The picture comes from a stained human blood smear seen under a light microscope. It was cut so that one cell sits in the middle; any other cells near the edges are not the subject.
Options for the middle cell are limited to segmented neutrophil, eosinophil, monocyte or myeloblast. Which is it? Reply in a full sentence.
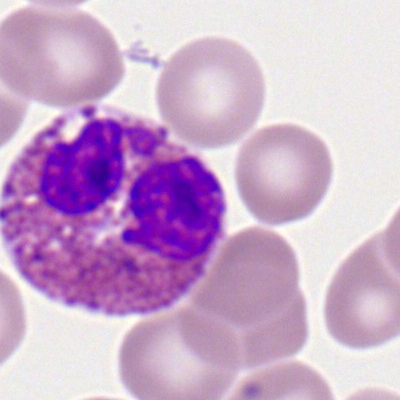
The centrally positioned cell in the crop represents an eosinophil.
